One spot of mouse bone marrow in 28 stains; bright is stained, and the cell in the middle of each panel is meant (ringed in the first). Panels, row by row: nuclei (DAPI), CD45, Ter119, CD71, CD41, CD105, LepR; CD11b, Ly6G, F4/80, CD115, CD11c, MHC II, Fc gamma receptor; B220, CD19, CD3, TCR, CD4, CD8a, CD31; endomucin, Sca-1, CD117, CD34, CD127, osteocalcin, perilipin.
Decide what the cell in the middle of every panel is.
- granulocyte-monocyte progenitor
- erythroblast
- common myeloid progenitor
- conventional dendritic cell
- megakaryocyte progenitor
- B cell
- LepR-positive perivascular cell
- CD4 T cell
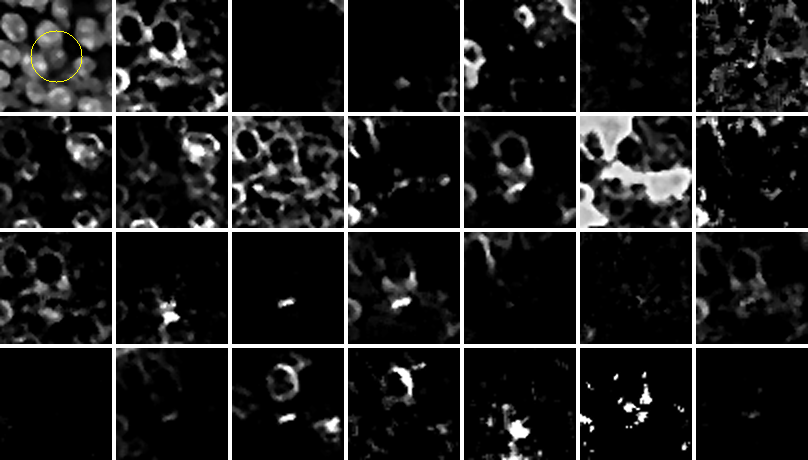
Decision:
conventional dendritic cell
